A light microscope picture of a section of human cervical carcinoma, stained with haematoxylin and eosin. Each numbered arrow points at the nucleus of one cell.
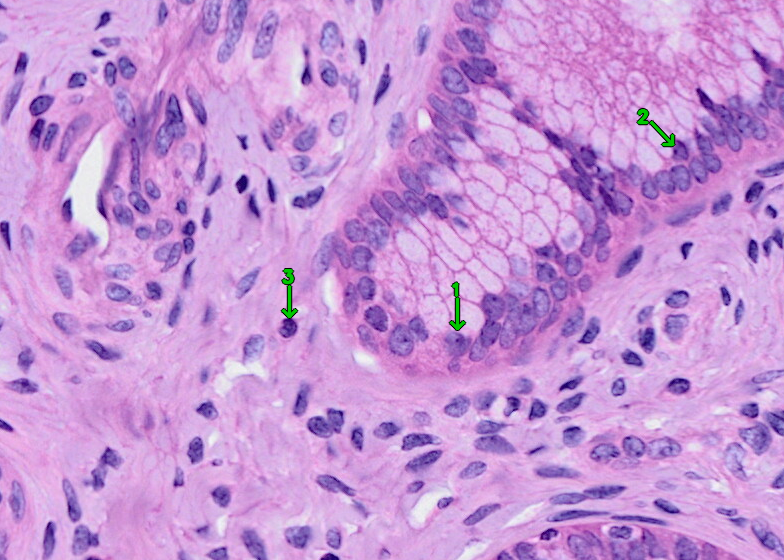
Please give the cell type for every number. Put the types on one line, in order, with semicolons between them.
secretory epithelial cell; secretory epithelial cell; lymphocyte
